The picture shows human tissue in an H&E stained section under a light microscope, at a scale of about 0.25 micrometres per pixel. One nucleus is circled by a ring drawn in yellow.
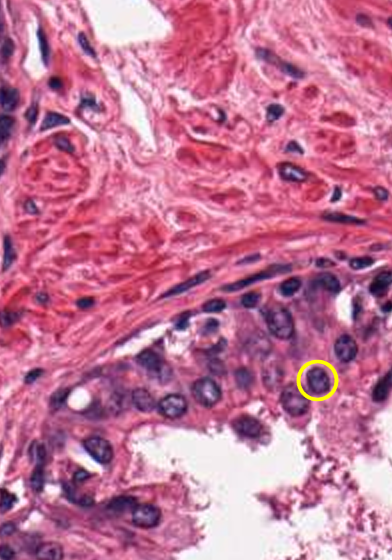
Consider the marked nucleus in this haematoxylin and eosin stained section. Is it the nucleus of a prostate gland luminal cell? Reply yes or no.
yes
